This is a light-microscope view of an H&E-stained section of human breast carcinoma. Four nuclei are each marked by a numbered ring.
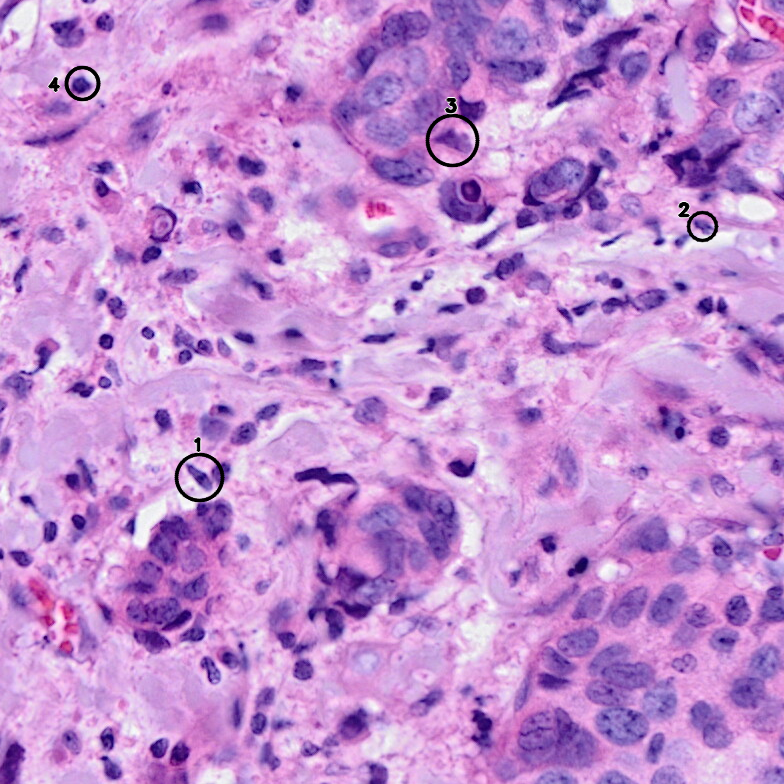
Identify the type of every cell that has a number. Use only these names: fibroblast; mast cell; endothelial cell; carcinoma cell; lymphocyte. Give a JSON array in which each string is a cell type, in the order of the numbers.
["lymphocyte", "lymphocyte", "carcinoma cell", "lymphocyte"]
